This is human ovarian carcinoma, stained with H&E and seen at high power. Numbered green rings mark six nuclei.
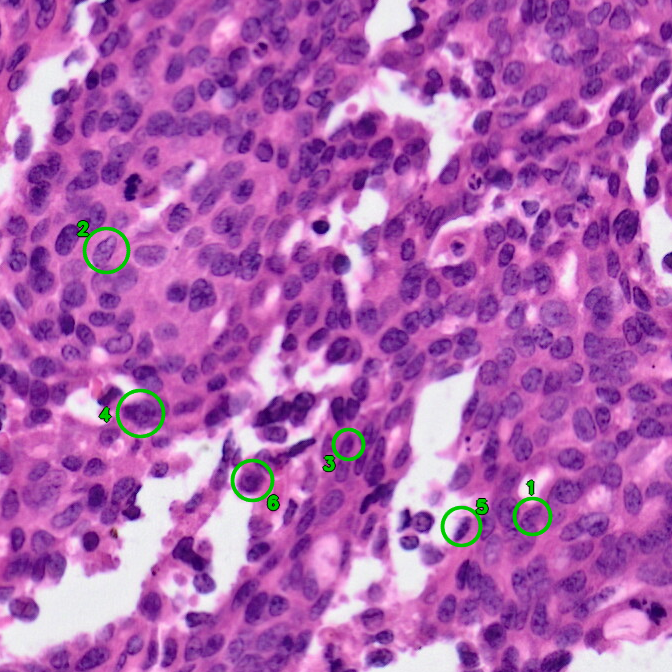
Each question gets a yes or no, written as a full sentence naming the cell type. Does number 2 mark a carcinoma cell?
No, the cell given number 2 is a macrophage or monocyte, not a carcinoma cell.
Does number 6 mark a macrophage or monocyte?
No, that is wrong: cell 6 is a carcinoma cell, and not a macrophage or monocyte.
